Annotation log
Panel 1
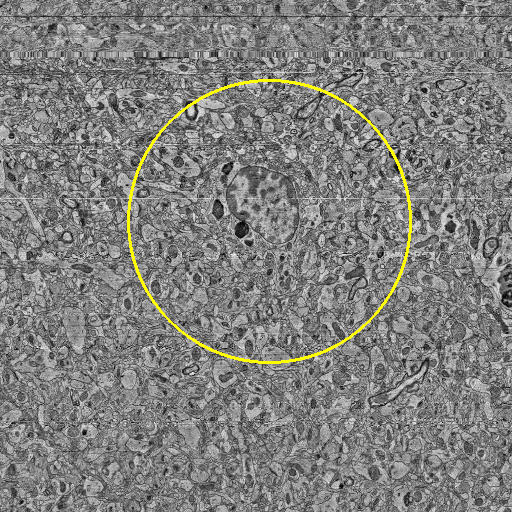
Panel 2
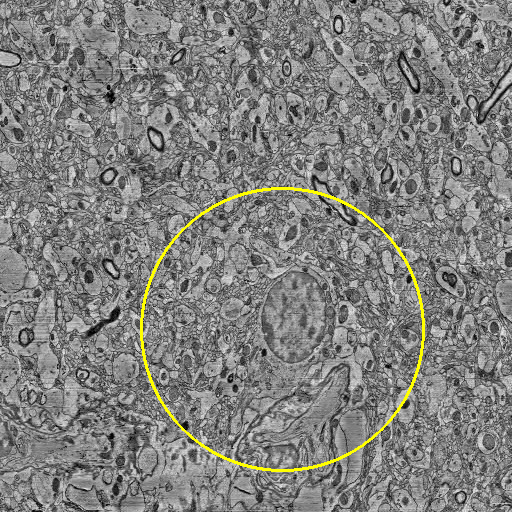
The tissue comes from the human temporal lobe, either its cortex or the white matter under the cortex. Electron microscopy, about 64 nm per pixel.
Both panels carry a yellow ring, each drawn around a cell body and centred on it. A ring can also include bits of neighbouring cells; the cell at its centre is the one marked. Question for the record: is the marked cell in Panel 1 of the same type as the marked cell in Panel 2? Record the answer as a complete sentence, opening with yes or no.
No, the marked cells in Panel 1 and Panel 2 are of two types.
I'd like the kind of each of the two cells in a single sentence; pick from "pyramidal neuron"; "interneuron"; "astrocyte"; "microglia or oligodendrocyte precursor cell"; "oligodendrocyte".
The first ring marks a microglial cell or oligodendrocyte precursor cell, and the second ring marks an oligodendrocyte.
